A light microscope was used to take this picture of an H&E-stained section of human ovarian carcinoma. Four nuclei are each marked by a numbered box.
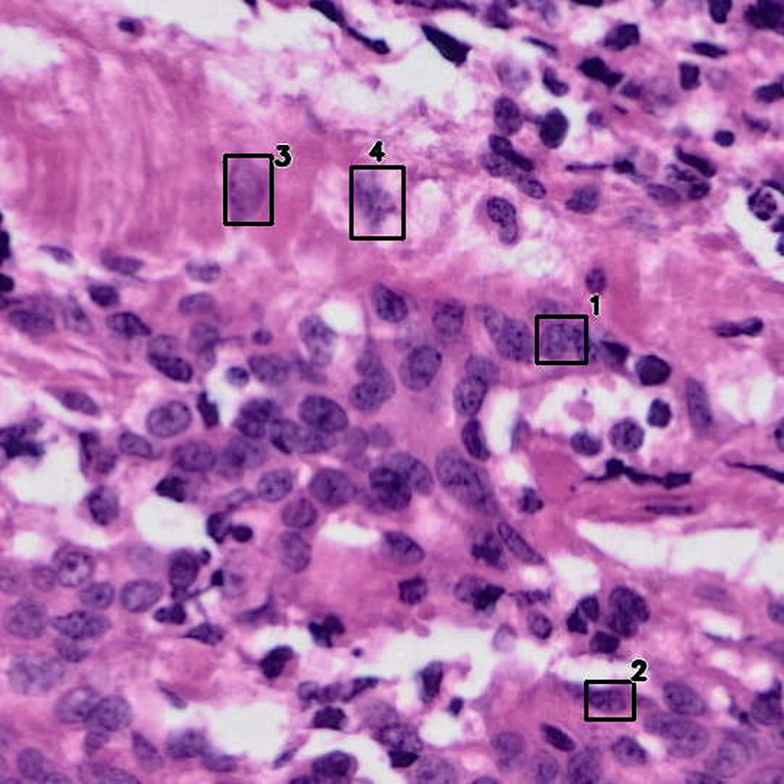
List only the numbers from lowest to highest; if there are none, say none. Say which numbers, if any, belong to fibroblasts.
3, 4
